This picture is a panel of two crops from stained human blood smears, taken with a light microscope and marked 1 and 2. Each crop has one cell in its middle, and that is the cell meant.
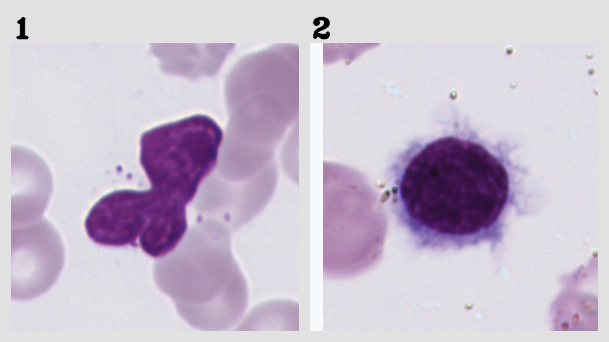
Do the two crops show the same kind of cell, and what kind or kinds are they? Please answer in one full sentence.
No, crop 1 shows a smudge cell, whereas a hairy cell is what crop 2 shows.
